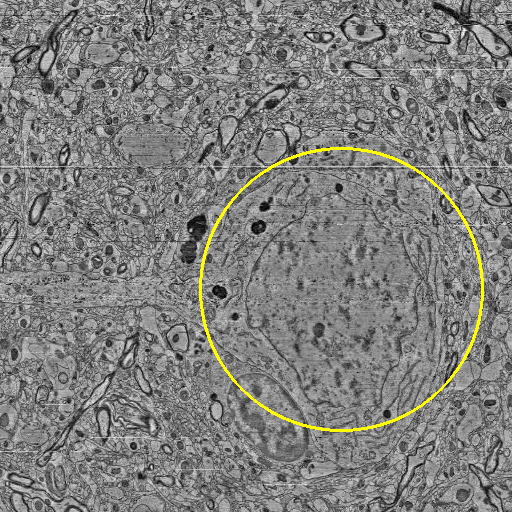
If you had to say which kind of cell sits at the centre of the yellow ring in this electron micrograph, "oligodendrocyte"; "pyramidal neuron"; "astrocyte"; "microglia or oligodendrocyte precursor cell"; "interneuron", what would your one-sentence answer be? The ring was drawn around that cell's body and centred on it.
The cell sitting at the centre of the ring is an interneuron.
